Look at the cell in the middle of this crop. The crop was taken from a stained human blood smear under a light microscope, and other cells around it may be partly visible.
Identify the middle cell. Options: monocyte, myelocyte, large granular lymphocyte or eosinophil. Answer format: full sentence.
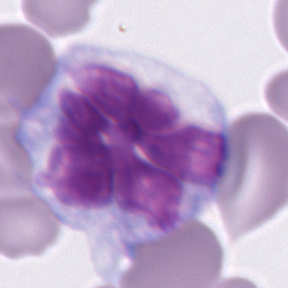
At the crop's centre, the cell is a monocyte.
